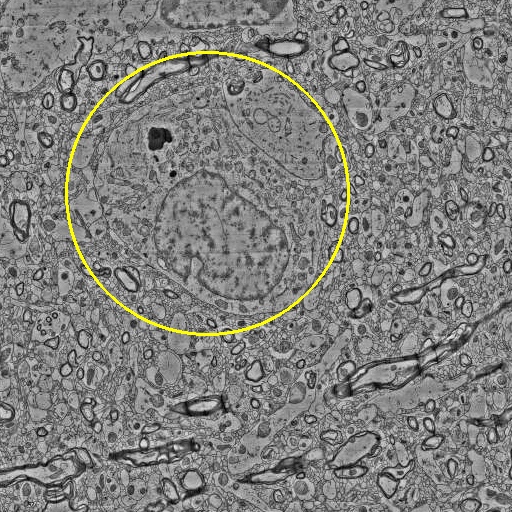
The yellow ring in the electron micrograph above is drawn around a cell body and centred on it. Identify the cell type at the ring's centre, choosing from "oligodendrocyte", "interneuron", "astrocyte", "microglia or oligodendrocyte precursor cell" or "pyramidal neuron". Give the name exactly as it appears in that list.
interneuron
